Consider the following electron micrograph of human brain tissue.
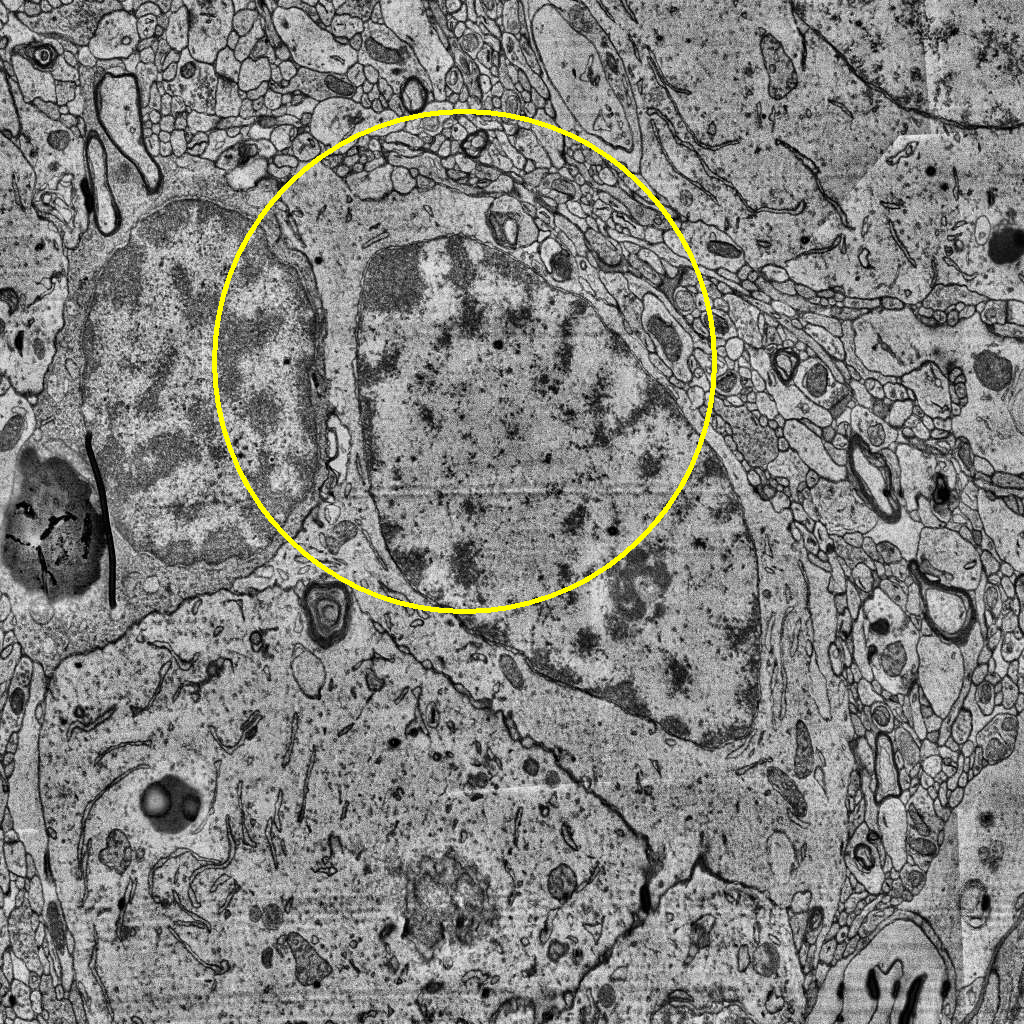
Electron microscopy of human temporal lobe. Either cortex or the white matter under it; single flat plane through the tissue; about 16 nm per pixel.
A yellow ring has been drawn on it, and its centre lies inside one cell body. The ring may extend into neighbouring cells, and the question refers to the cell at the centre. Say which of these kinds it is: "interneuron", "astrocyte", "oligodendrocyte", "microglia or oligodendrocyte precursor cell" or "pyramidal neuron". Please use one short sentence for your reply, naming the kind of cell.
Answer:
The centre of the ring falls on a microglial cell or oligodendrocyte precursor cell.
